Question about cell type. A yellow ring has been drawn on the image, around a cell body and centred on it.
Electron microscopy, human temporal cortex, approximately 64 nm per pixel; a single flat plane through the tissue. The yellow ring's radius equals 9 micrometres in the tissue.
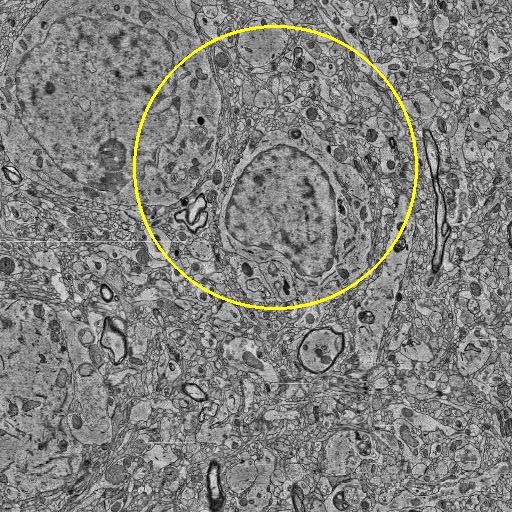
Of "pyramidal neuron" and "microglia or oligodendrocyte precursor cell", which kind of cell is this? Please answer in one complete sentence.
At the centre of the ring lies a microglial cell or oligodendrocyte precursor cell.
